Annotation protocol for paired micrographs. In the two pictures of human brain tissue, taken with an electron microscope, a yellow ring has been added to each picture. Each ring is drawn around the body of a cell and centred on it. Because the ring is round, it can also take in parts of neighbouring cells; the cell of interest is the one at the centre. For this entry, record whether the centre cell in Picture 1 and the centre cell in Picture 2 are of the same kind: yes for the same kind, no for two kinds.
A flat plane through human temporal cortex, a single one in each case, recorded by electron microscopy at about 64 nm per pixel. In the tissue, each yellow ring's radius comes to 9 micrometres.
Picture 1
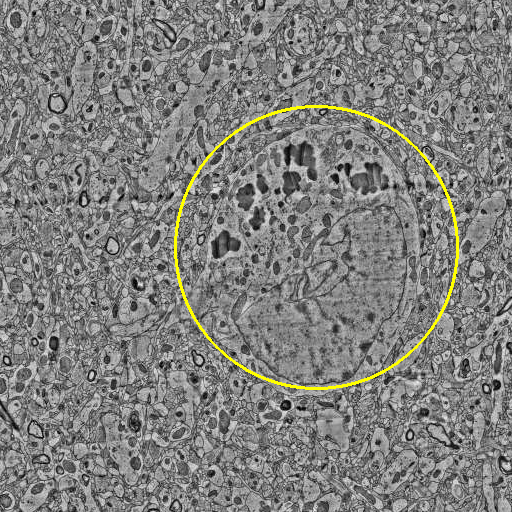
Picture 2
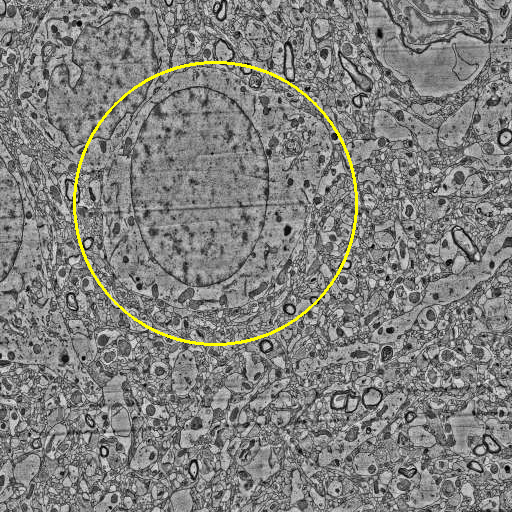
no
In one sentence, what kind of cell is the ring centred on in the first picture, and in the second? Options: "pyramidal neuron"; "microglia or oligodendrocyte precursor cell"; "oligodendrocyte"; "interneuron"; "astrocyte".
The cell at the centre of the second ring is a pyramidal neuron; the first ring's cell is an interneuron.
